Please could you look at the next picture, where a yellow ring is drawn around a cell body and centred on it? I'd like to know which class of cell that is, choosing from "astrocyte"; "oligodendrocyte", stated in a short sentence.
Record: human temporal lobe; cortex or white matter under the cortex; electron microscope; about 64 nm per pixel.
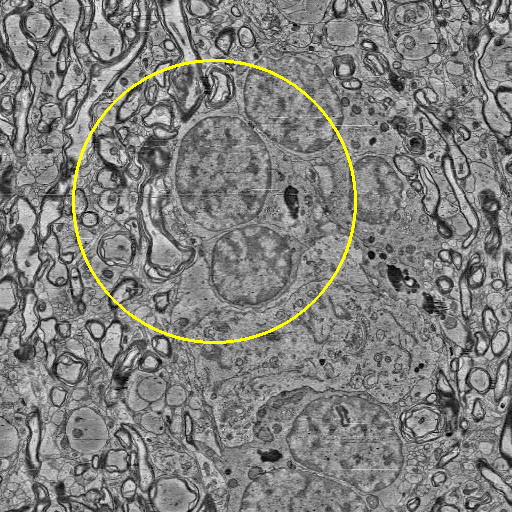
The ring's centre lies on an oligodendrocyte.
